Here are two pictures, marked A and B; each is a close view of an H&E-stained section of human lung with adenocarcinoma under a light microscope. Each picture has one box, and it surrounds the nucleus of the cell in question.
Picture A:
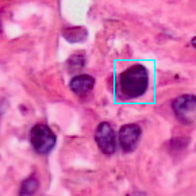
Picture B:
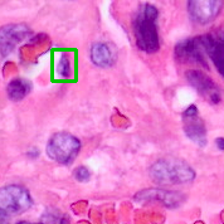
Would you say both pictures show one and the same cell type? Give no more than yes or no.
no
